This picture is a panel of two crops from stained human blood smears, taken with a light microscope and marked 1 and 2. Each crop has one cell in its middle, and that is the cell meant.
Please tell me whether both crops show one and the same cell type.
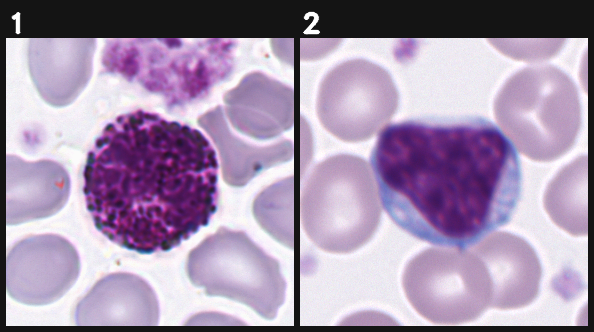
no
